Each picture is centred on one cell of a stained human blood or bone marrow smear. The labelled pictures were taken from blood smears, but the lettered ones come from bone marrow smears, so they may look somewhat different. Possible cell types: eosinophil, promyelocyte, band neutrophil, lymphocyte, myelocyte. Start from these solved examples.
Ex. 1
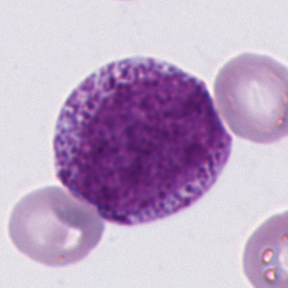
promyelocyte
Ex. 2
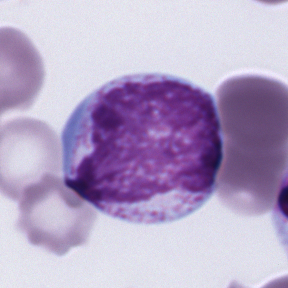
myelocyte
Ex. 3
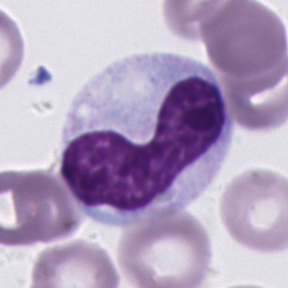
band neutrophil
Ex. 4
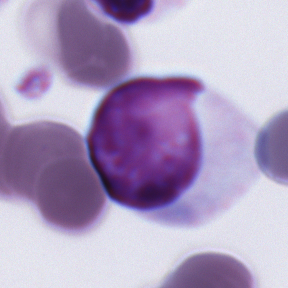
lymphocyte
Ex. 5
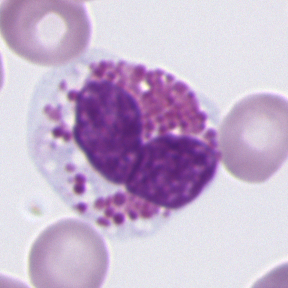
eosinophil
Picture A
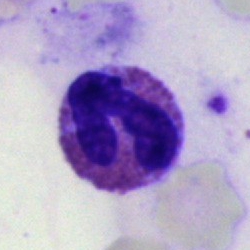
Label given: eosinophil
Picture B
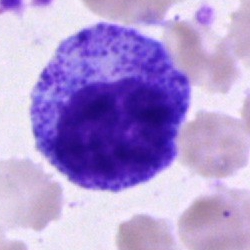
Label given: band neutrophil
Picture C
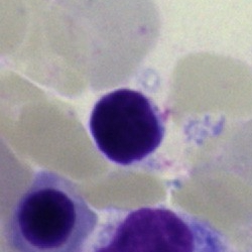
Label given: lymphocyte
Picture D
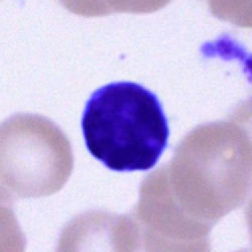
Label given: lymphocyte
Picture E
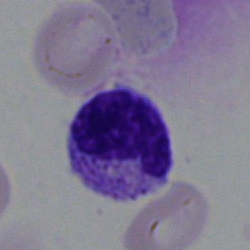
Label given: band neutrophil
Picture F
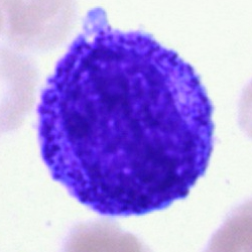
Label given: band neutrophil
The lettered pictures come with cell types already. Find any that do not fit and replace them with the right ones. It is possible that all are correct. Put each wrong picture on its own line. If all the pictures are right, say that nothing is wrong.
Wrong: B (band neutrophil); correct: promyelocyte
Wrong: F (band neutrophil); correct: promyelocyte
